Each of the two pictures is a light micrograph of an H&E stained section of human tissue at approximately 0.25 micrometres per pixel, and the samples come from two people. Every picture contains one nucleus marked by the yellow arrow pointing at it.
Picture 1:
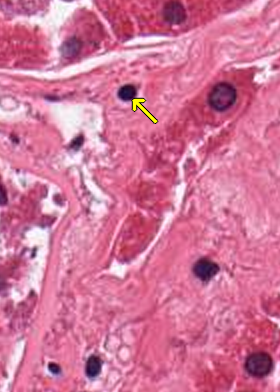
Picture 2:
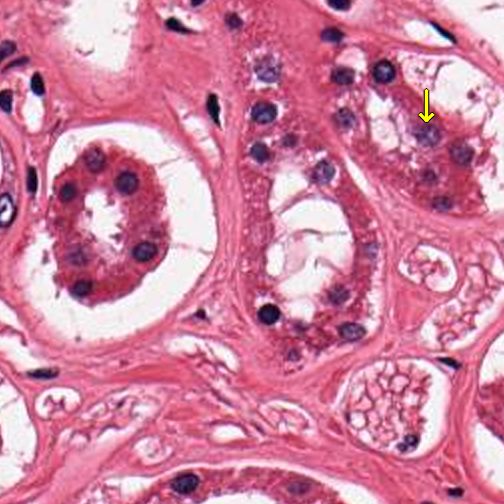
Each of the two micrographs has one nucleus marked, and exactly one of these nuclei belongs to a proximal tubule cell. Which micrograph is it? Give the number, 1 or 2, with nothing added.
2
